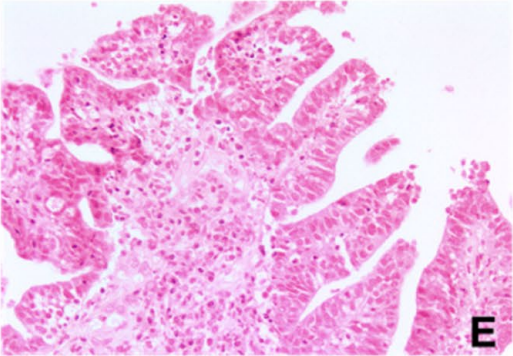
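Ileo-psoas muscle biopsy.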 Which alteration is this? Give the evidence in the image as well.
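Finger-like papillary fronds project into an empty space. The fronds are lined by crowded columnar epithelial cells.
Answer: papillary adenocarcinoma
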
